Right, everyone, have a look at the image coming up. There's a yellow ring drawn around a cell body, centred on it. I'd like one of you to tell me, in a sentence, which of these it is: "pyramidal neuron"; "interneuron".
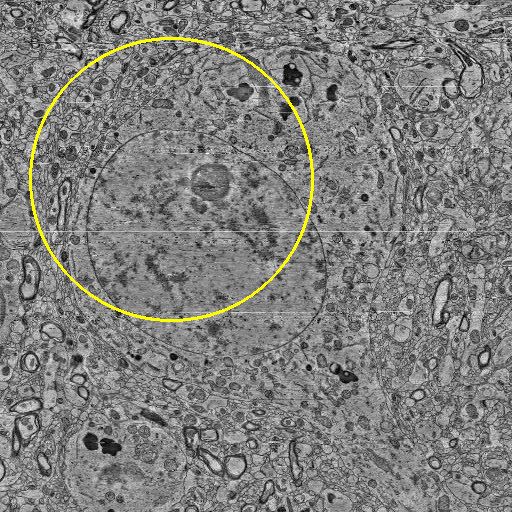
The yellow ring sits on a pyramidal neuron.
